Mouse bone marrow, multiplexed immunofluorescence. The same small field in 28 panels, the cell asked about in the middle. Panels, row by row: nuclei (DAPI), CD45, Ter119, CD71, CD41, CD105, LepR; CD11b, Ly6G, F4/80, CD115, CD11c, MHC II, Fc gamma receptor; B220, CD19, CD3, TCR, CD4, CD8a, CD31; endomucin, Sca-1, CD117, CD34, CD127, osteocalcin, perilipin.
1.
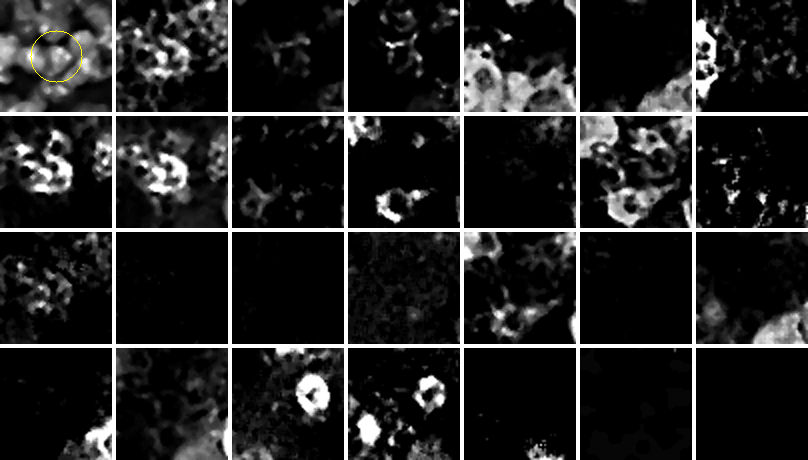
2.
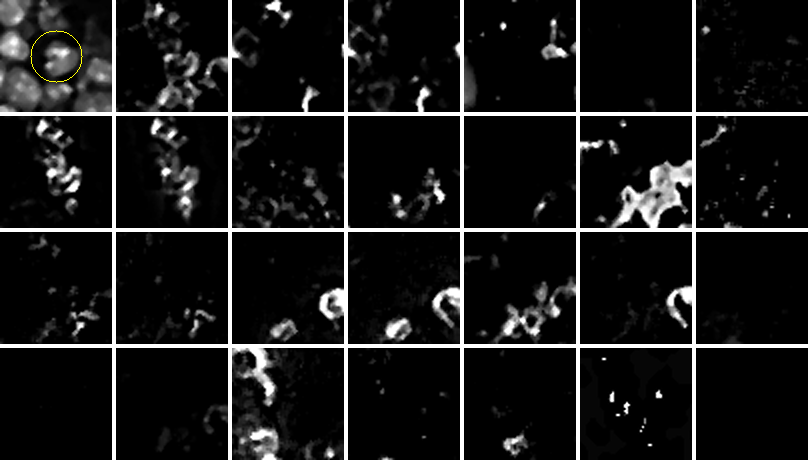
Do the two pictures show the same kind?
Yes, both are neutrophils.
